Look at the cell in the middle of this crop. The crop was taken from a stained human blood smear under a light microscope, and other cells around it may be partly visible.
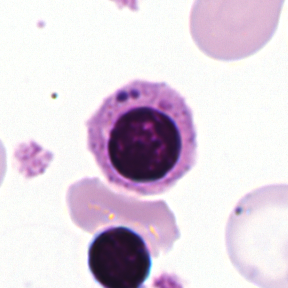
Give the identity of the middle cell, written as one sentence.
Looking at the middle of the crop, the cell there is a normoblast.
